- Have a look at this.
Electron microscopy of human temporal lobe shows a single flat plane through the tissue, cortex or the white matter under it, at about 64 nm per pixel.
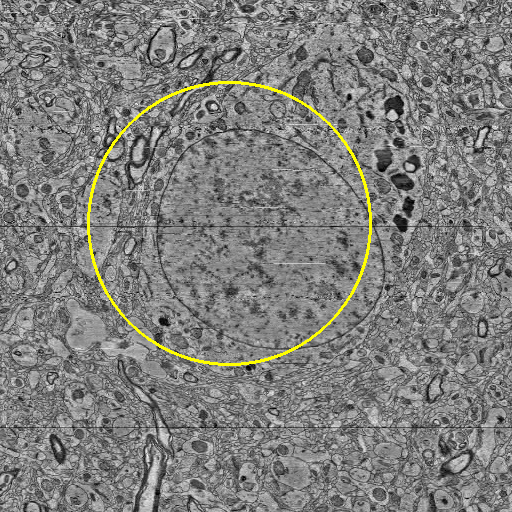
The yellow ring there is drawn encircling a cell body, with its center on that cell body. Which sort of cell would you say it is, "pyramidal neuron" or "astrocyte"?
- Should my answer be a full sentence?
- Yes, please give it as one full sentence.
For this picture, a pyramidal neuron is the cell where the yellow ring has its center.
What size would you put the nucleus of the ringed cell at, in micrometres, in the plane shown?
In this plane the nucleus measures roughly 16 by 13 micrometers.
